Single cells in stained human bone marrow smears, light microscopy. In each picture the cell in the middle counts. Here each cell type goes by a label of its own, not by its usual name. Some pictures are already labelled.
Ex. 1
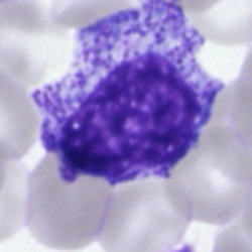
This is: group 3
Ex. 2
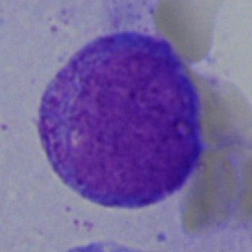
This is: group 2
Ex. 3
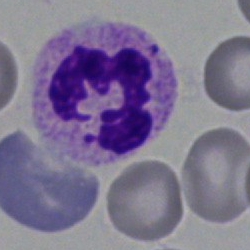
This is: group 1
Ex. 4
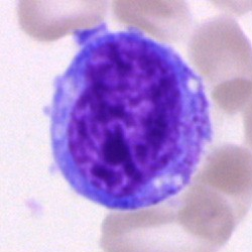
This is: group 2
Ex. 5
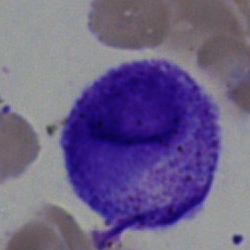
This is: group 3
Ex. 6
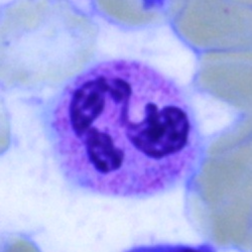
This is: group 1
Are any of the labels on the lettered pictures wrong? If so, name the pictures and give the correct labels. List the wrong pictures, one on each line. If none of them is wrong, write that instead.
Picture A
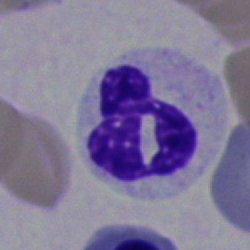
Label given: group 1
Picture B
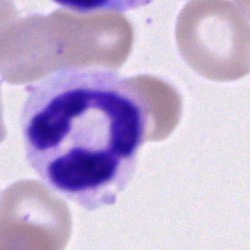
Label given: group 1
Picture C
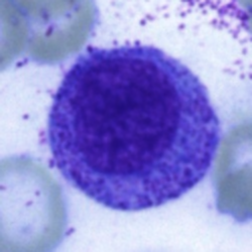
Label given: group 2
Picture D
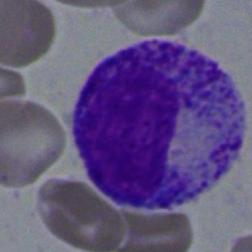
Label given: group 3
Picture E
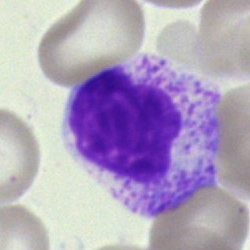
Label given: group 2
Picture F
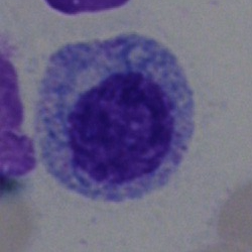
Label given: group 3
E: not group 2 but group 3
